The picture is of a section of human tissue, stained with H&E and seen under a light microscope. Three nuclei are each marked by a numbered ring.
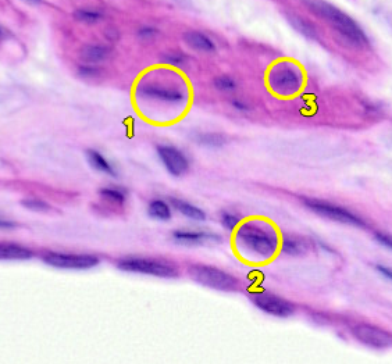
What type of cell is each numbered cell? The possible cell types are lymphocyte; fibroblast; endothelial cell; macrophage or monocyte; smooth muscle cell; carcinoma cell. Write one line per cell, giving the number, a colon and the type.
1: smooth muscle cell
2: endothelial cell
3: smooth muscle cell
